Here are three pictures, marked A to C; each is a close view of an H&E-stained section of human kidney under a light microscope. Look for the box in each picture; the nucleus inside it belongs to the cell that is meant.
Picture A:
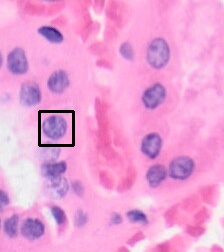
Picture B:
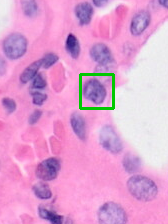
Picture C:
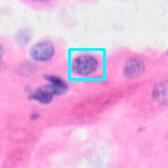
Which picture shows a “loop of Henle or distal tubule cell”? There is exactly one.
C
